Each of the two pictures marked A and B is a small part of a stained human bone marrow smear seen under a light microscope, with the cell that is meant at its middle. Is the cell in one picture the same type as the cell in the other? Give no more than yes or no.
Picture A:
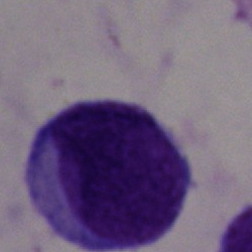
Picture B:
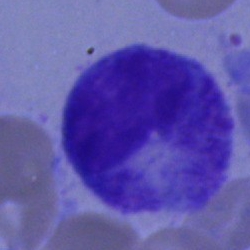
no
